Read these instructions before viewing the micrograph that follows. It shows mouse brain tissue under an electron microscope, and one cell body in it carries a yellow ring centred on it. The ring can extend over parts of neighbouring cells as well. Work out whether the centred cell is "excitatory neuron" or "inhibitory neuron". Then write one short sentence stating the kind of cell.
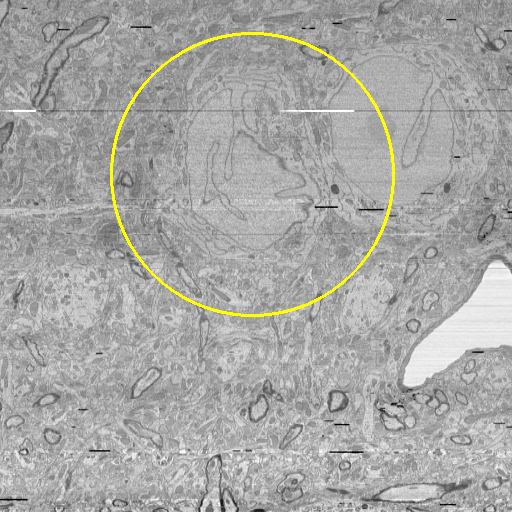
The ringed cell is an inhibitory neuron.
